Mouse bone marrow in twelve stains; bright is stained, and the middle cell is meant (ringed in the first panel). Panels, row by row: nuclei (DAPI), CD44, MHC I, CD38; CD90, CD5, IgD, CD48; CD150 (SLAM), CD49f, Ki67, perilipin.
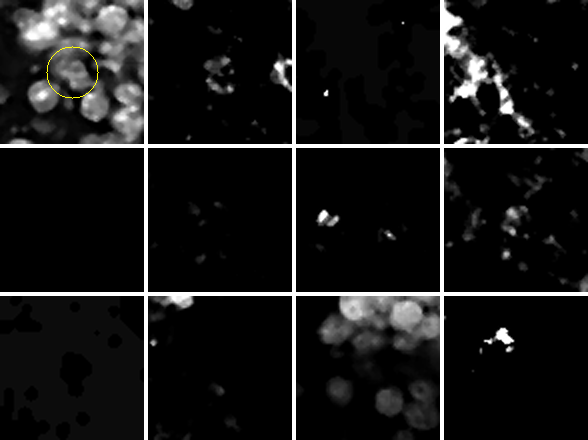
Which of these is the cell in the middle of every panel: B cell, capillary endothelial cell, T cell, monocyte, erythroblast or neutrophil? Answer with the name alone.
capillary endothelial cell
